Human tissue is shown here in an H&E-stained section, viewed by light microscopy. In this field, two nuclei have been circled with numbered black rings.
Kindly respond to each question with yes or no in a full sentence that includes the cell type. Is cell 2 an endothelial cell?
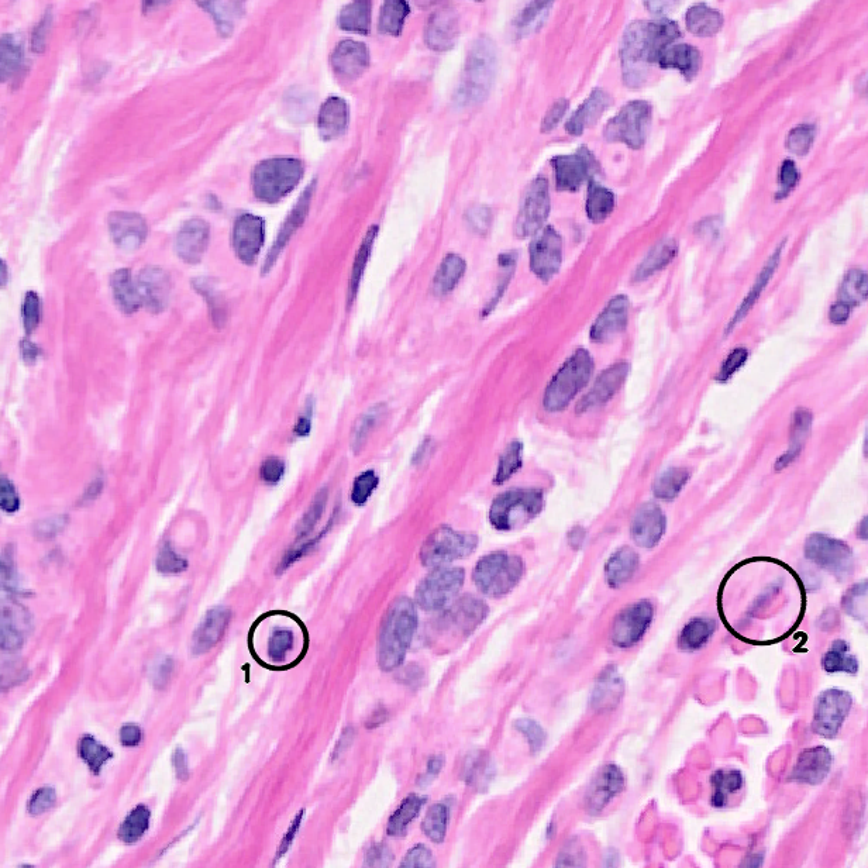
Yes, the marked cell with number 2 is an endothelial cell.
